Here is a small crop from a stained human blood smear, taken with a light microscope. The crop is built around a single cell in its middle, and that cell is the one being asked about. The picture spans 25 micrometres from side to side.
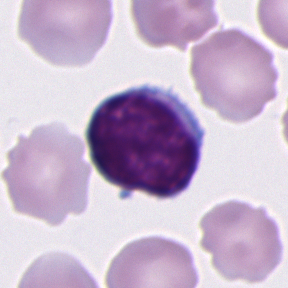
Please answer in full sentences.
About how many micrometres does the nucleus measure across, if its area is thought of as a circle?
Taken as a circle, the nucleus has a diameter of about 9 micrometres.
